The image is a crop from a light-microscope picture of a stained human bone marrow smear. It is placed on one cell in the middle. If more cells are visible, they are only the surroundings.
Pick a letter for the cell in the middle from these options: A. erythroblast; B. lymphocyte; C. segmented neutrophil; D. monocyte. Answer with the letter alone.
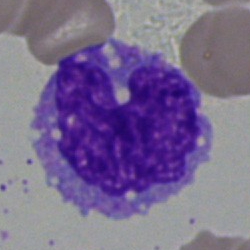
D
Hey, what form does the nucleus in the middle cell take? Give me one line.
Between us, the nucleus here is just one compact mass, round, oval or kidney-shaped.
